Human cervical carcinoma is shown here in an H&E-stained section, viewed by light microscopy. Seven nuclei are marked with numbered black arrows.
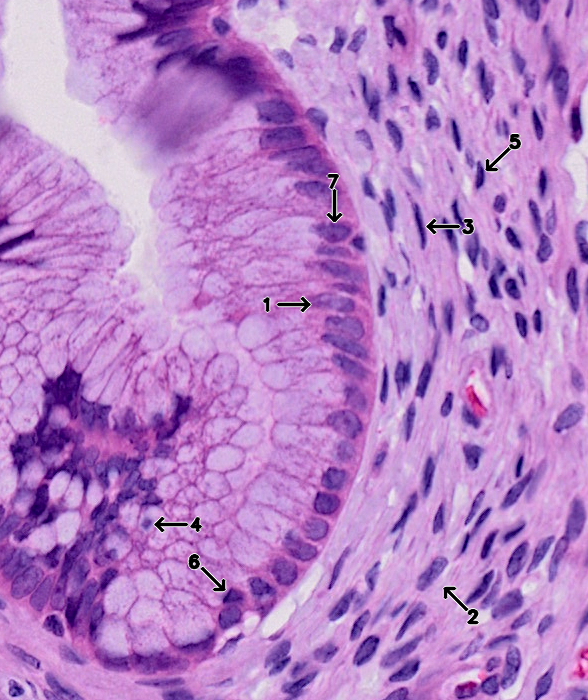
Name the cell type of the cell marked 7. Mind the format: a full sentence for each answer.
The mark numbered 7 indicates the nucleus of a secretory epithelial cell.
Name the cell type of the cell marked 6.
The numeral 6 marks a secretory epithelial cell in this section.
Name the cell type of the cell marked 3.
The nucleus labelled 3 belongs to a fibroblast.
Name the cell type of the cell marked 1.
The cell assigned the number 1 is a secretory epithelial cell.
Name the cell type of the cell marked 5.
The cell referred to as 5 is a fibroblast.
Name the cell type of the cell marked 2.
The cell indicated with the number 2 is classed as a fibroblast.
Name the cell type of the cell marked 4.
The nucleus labelled 4 belongs to a secretory epithelial cell.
